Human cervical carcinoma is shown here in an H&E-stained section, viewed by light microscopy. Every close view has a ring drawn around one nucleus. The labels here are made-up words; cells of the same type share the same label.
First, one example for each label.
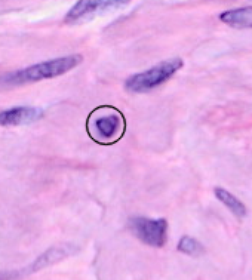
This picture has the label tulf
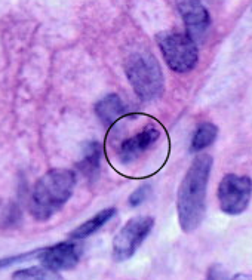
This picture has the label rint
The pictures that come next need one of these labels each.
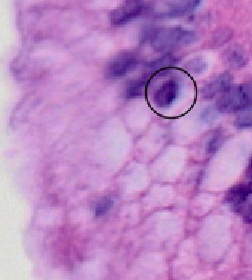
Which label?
rint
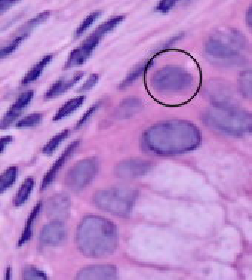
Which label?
rint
